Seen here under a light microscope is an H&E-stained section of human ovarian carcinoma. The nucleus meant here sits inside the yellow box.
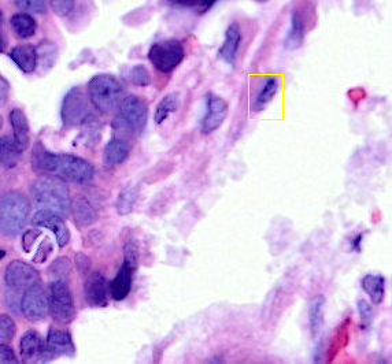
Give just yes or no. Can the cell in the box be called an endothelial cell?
yes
